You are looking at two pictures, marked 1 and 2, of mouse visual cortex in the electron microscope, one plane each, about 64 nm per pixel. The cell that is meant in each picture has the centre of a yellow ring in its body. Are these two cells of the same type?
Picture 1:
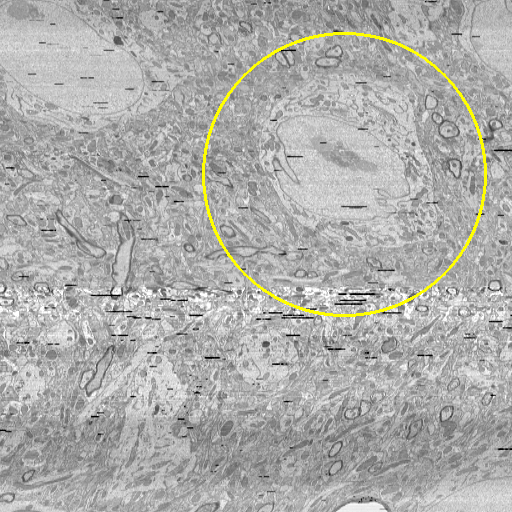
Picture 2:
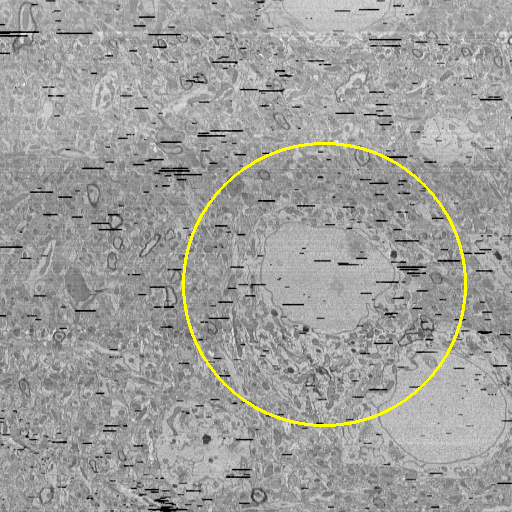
Yes; the cells in both pictures are inhibitory neurons.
